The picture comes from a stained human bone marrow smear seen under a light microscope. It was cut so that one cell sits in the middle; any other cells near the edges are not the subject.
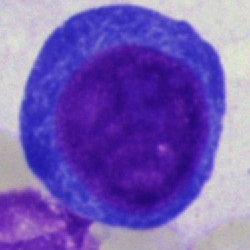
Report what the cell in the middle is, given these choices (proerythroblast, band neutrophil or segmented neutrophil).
proerythroblast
